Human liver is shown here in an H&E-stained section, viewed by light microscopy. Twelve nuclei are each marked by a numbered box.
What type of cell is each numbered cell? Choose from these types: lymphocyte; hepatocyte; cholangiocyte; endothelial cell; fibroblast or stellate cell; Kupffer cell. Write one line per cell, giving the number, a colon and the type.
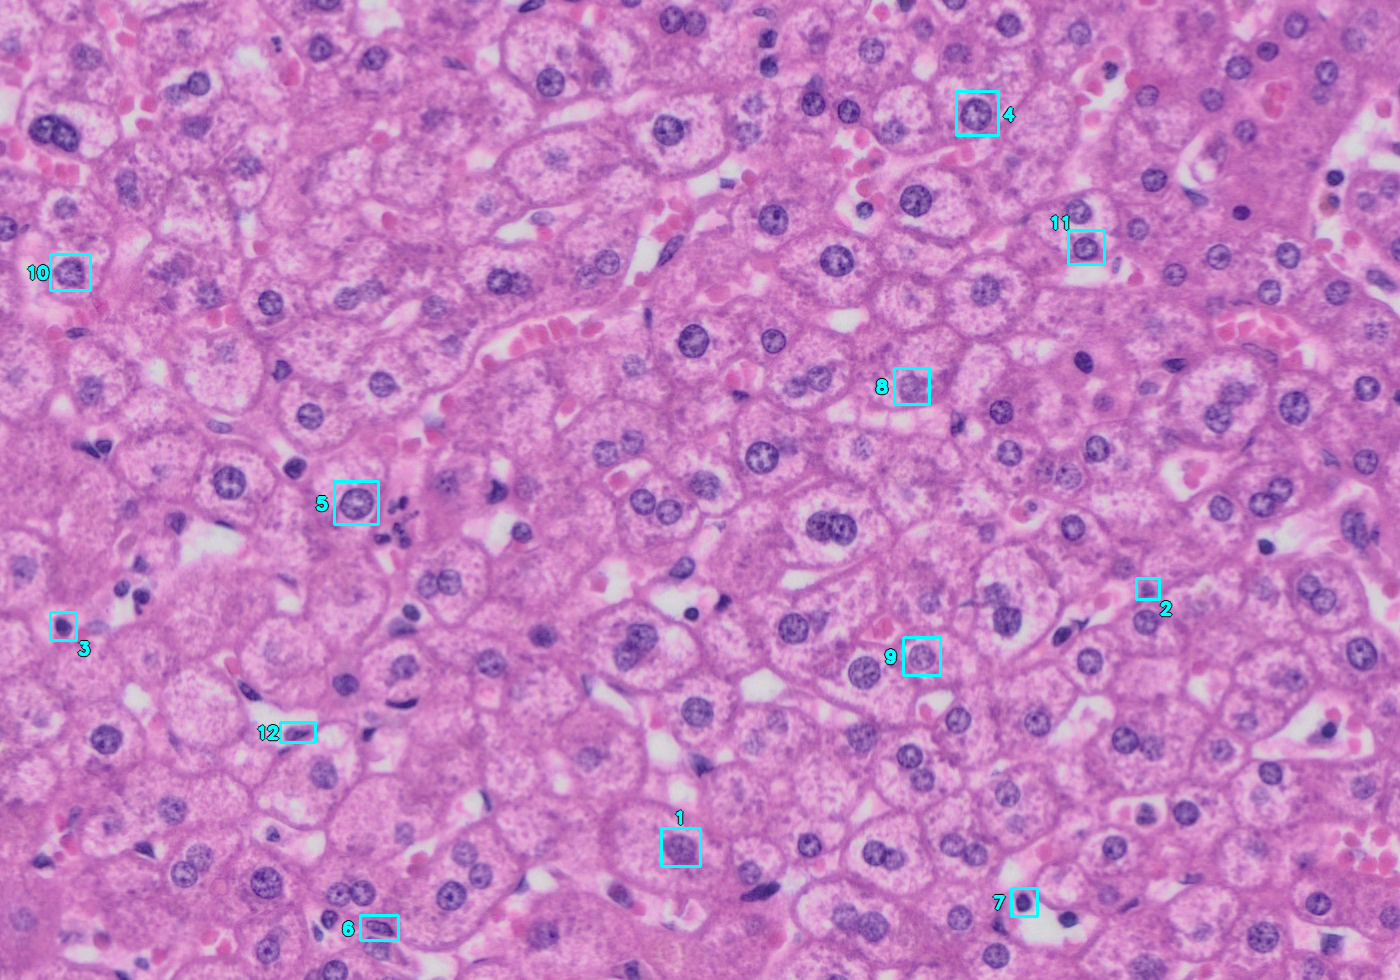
1: hepatocyte
2: fibroblast or stellate cell
3: lymphocyte
4: hepatocyte
5: hepatocyte
6: fibroblast or stellate cell
7: lymphocyte
8: hepatocyte
9: hepatocyte
10: hepatocyte
11: hepatocyte
12: Kupffer cell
